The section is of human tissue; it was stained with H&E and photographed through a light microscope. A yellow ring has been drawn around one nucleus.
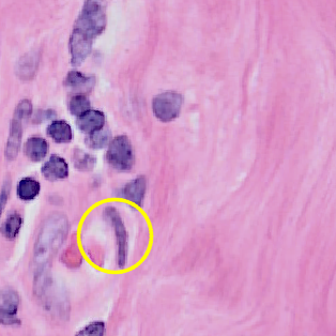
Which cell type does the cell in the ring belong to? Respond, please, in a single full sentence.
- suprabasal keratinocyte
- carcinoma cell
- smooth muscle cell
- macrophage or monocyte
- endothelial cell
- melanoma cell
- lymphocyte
Microscopically, the cell in the ring is categorized as an endothelial cell.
